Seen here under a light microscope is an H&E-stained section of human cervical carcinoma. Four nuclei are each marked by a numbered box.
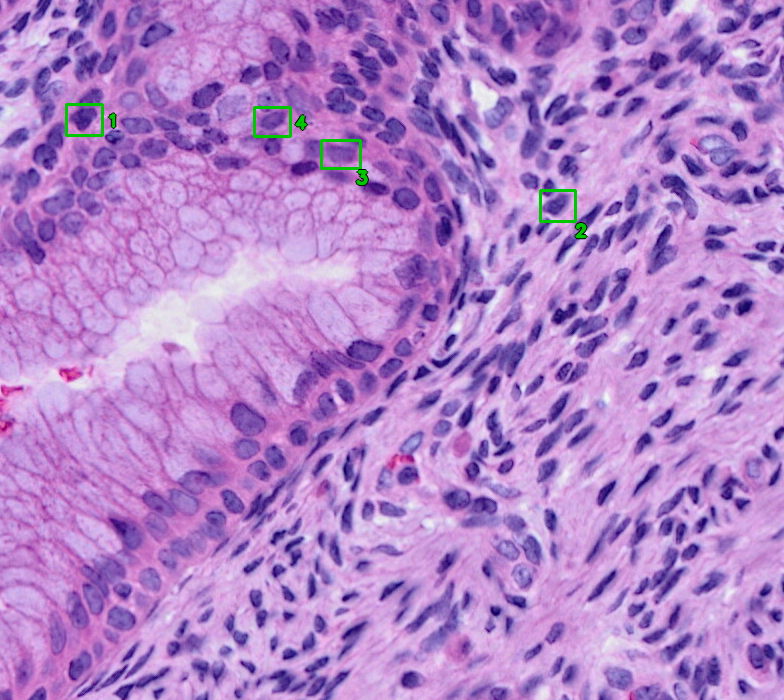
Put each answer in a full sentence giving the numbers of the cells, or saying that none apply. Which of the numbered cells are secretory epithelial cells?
The cells 1, 3 and 4 in this section are secretory epithelial cells.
